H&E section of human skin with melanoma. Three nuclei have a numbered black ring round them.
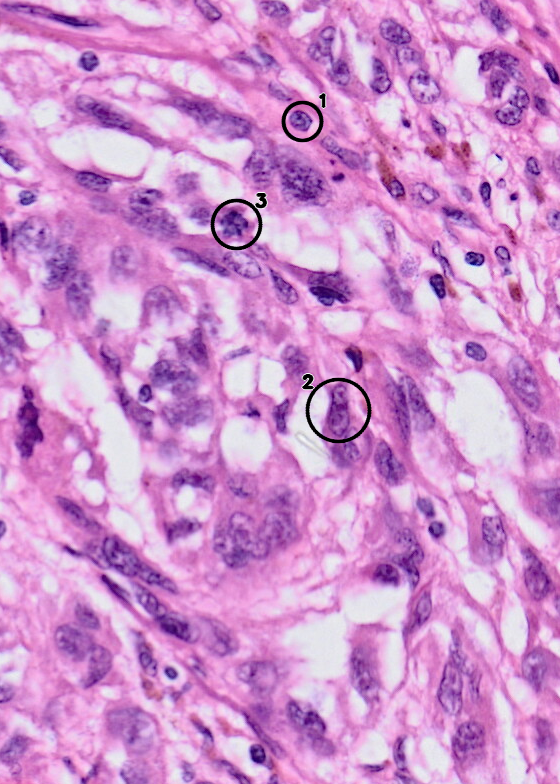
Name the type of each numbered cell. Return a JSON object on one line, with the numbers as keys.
{"1": "lymphocyte", "2": "melanoma cell", "3": "melanoma cell"}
